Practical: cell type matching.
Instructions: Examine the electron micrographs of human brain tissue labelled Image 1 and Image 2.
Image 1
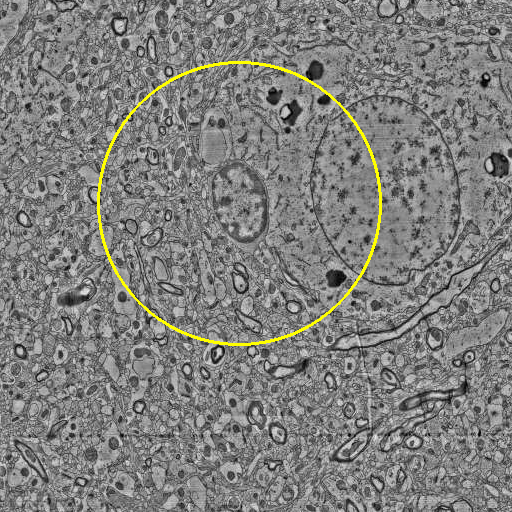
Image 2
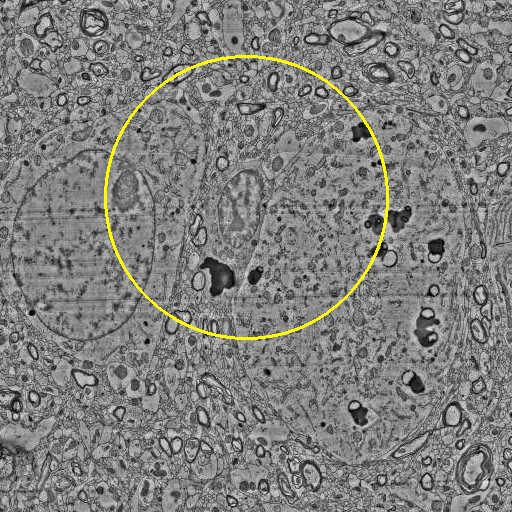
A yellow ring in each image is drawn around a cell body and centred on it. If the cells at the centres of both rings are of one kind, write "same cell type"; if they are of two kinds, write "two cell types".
same cell type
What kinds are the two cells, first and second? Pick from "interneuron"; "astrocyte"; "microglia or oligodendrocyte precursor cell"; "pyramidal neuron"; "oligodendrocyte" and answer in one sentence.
Each of the two cells is an oligodendrocyte.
